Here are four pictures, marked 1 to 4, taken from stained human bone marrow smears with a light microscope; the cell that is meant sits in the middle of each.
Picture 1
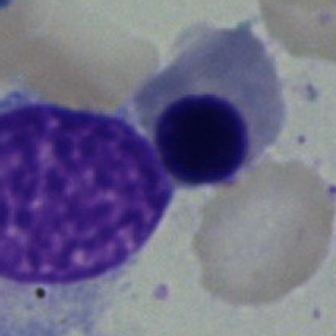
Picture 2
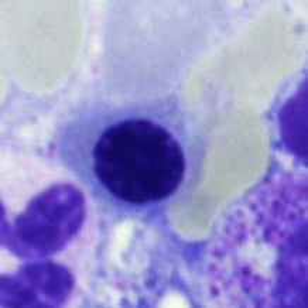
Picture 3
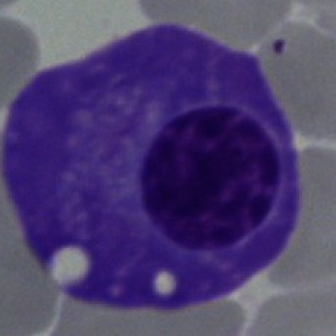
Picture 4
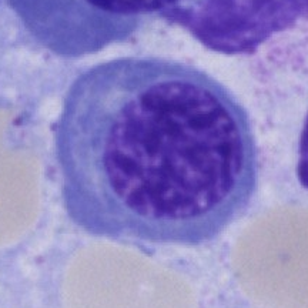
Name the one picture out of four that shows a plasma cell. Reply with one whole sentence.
The picture with the plasma cell is 3.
